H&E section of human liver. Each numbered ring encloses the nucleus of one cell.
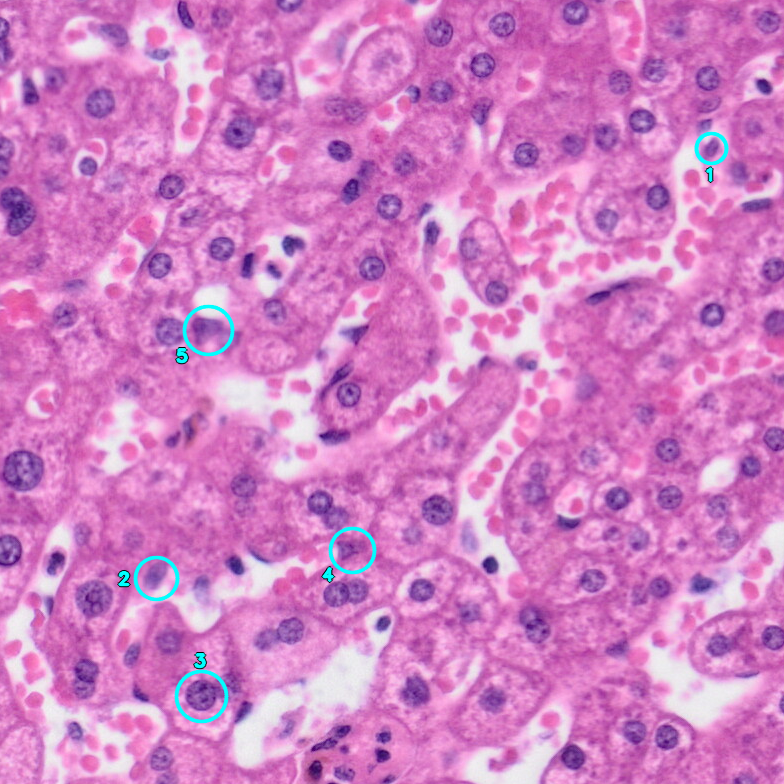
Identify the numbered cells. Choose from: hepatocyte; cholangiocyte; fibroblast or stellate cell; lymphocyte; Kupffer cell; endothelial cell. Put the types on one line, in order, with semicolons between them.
Kupffer cell; endothelial cell; hepatocyte; endothelial cell; endothelial cell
